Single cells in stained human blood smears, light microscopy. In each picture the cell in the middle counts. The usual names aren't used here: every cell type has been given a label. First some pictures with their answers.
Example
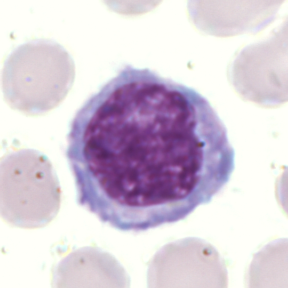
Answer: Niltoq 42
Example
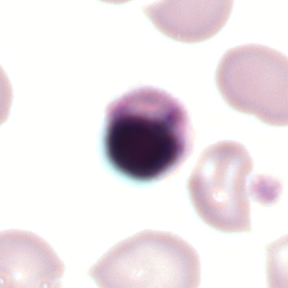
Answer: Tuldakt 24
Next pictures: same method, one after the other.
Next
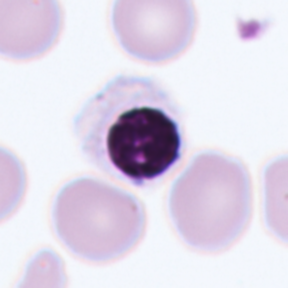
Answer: Tuldakt 24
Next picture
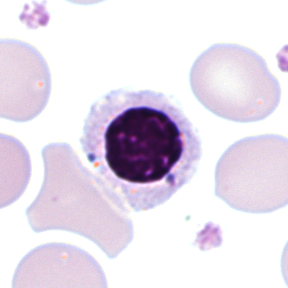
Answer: Tuldakt 24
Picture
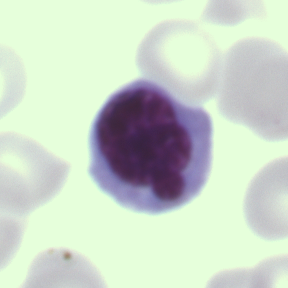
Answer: Tuldakt 24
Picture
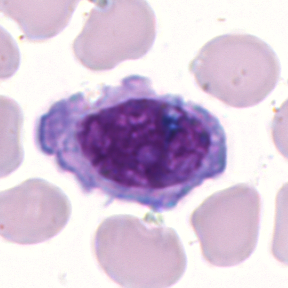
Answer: Niltoq 42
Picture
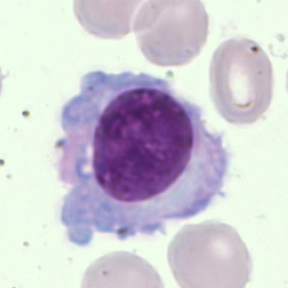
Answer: Niltoq 42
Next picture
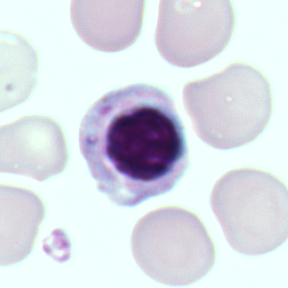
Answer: Tuldakt 24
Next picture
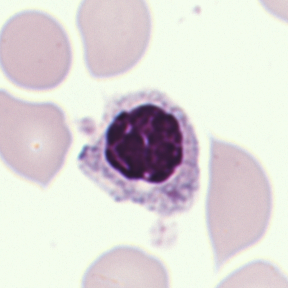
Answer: Tuldakt 24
